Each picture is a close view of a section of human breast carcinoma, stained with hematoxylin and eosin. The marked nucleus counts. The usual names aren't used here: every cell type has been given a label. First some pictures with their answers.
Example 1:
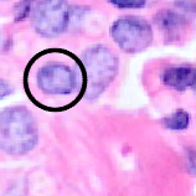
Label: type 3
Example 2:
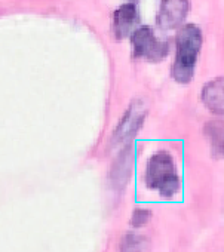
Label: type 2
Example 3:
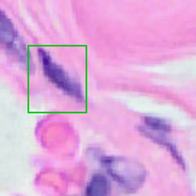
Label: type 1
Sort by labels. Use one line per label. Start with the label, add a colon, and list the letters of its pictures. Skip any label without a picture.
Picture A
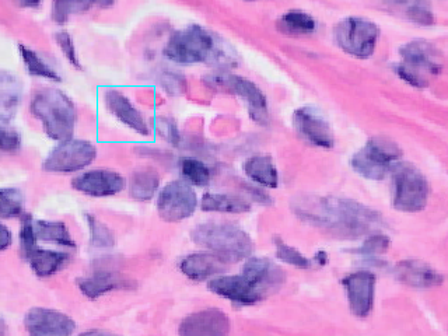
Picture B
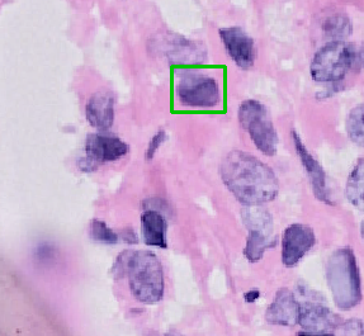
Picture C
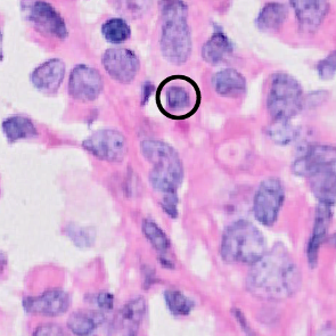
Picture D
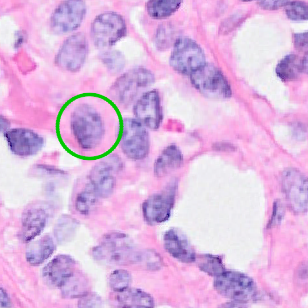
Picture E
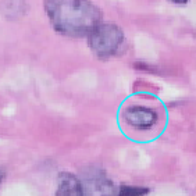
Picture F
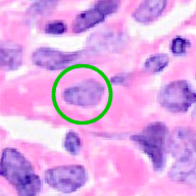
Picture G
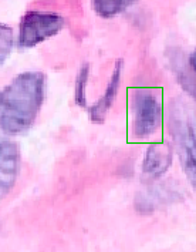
type 3: B, D, F
type 1: A, C, E, G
